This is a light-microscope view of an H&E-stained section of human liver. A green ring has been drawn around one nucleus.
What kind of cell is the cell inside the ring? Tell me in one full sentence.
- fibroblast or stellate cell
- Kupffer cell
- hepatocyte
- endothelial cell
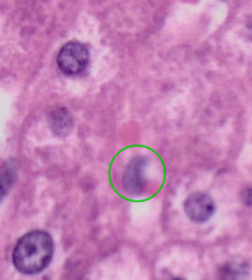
The identity of the cell inside the ring: it is an endothelial cell.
